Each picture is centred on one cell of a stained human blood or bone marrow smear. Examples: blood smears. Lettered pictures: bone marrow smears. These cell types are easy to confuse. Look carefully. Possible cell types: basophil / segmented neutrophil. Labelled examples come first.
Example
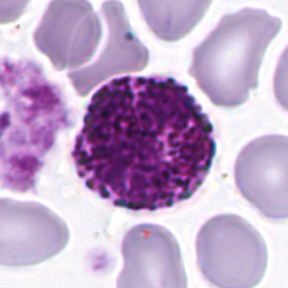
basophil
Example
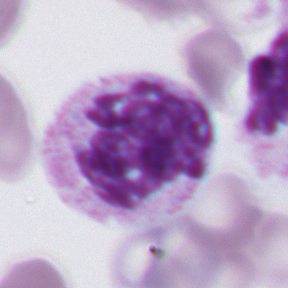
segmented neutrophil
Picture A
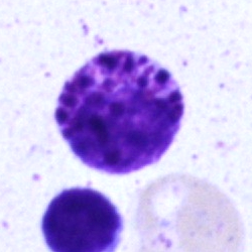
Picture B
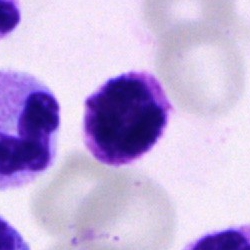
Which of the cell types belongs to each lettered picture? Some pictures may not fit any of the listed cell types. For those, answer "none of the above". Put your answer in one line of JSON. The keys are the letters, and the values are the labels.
{"A": "basophil", "B": "basophil"}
